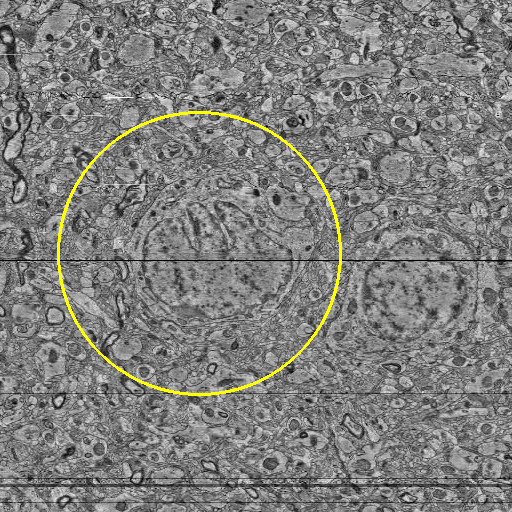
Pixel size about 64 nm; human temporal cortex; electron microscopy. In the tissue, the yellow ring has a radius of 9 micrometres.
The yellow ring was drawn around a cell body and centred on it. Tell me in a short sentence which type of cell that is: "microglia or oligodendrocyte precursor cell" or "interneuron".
The cell at the ring's centre is an interneuron.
